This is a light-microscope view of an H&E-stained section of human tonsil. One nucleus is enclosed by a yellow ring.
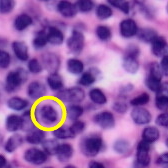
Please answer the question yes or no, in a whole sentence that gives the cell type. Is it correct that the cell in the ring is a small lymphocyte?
Yes, where cell type is concerned, the cell in the ring is a small lymphocyte.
